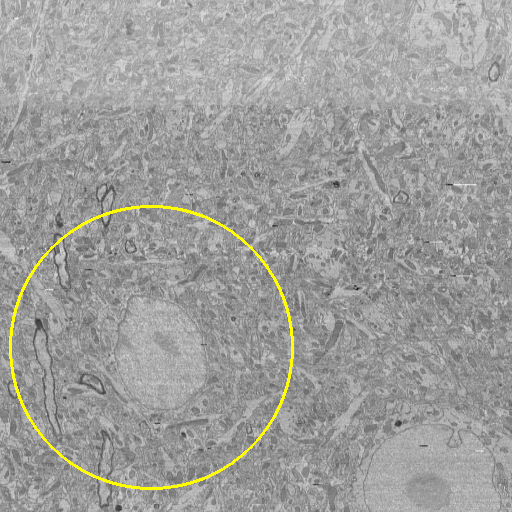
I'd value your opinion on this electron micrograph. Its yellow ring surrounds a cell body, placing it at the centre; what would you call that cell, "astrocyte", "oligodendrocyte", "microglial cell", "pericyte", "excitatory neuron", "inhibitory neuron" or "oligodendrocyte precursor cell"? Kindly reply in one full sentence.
It is an astrocyte that sits centred within the yellow ring in this micrograph.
